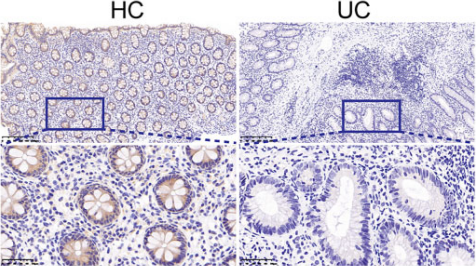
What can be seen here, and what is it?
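This is colon mucosa, with crypts cut across as rings of columnar epithelium around a small lumen, many of the lining cells being goblet cells with pale, rounded mucin cups and basal blue nuclei. On the left the crypt epithelium carries a brown stain and the crypts sit evenly packed, while on the right the crypts are fewer and more spread apart, the epithelium is mostly blue, and a dense cluster of small dark-nucleated cells fills the lamina propria.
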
